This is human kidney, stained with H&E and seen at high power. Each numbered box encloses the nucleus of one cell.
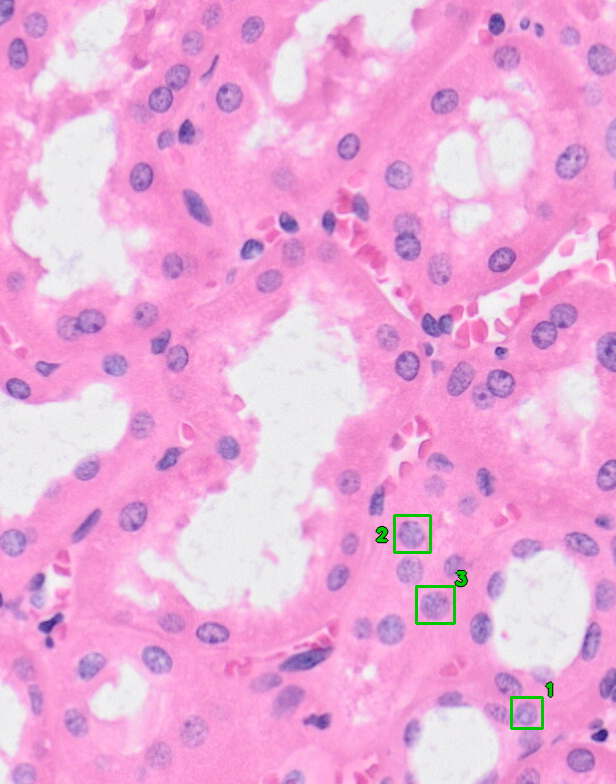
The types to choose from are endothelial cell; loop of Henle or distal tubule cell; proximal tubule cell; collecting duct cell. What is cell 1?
collecting duct cell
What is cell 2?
loop of Henle or distal tubule cell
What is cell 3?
loop of Henle or distal tubule cell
